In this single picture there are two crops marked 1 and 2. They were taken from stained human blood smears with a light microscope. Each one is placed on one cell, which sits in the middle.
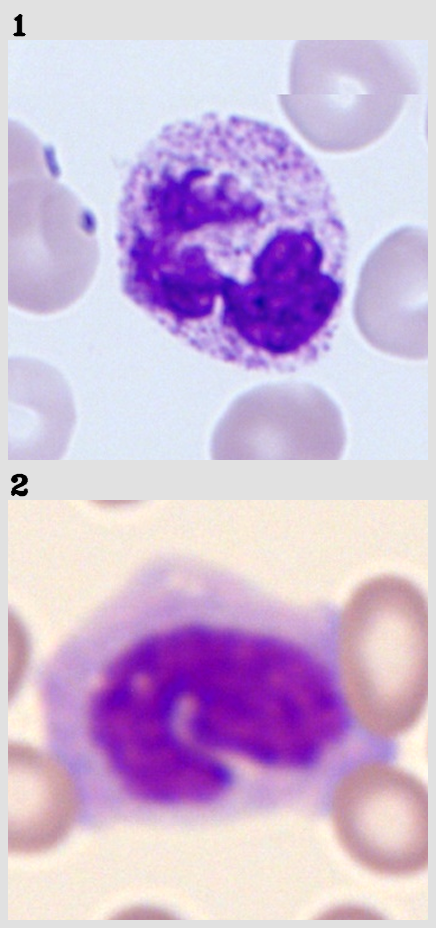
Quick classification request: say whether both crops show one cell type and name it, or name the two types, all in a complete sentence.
No, crop 1 represents a segmented neutrophil, and crop 2 represents a monocyte.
